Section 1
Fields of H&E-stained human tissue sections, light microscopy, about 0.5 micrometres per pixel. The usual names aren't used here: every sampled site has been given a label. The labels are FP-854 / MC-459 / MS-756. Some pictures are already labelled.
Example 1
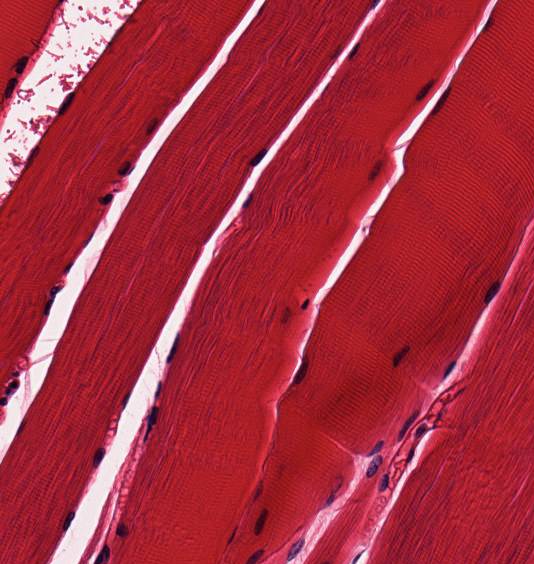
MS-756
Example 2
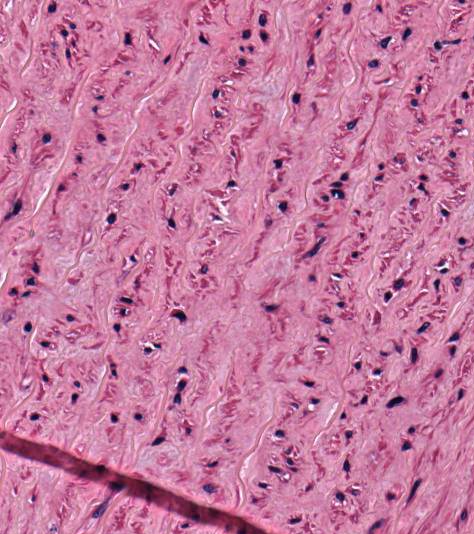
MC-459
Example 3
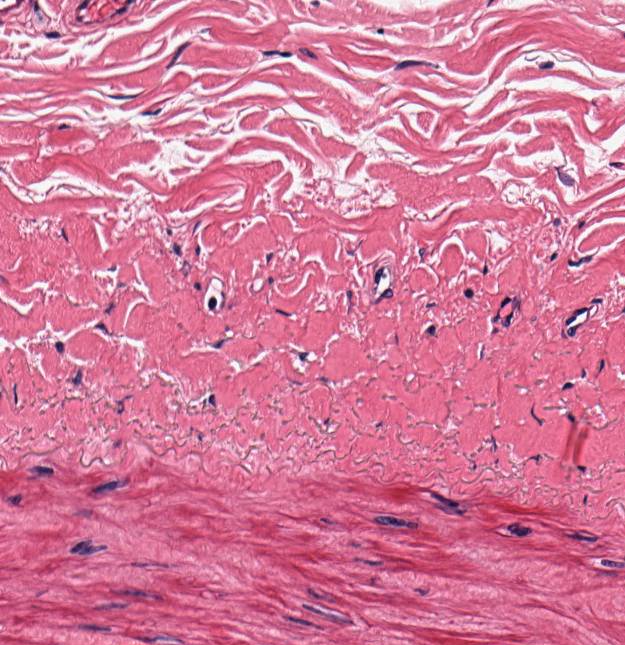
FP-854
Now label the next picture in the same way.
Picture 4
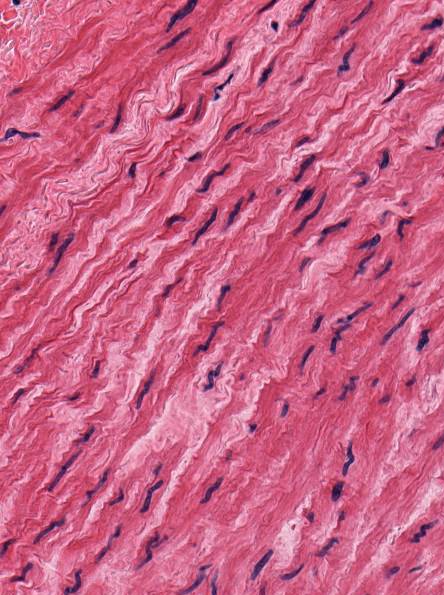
FP-854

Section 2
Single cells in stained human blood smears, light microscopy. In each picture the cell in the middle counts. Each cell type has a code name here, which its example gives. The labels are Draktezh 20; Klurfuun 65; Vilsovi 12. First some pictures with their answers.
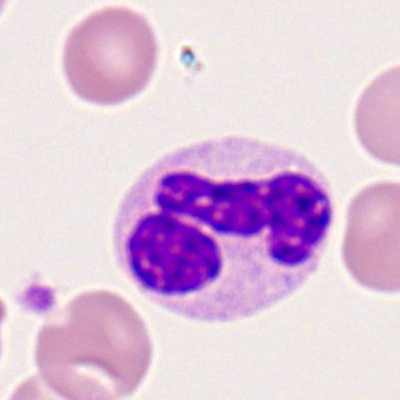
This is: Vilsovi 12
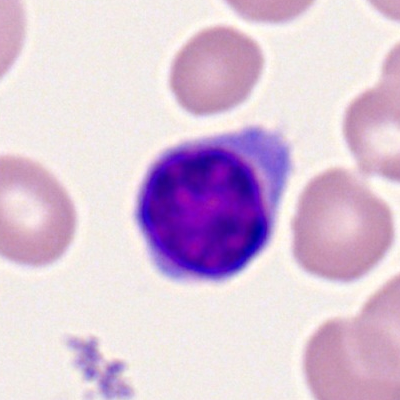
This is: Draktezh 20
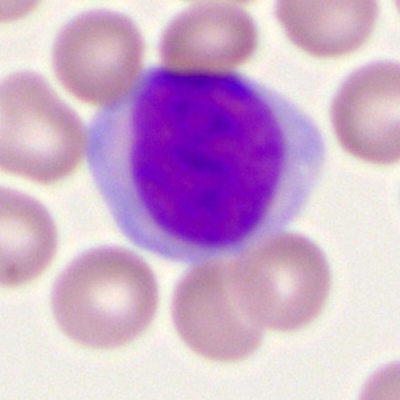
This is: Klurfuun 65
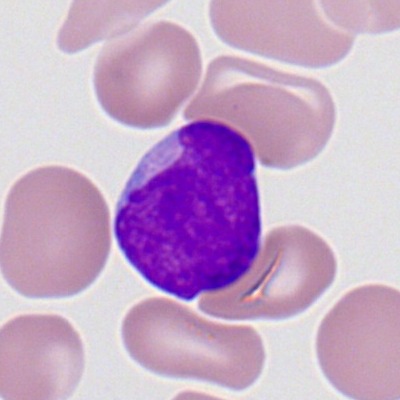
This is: Klurfuun 65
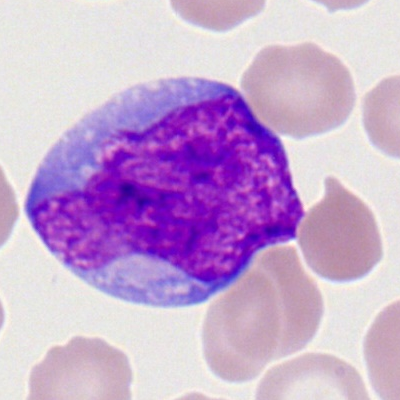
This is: Klurfuun 65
